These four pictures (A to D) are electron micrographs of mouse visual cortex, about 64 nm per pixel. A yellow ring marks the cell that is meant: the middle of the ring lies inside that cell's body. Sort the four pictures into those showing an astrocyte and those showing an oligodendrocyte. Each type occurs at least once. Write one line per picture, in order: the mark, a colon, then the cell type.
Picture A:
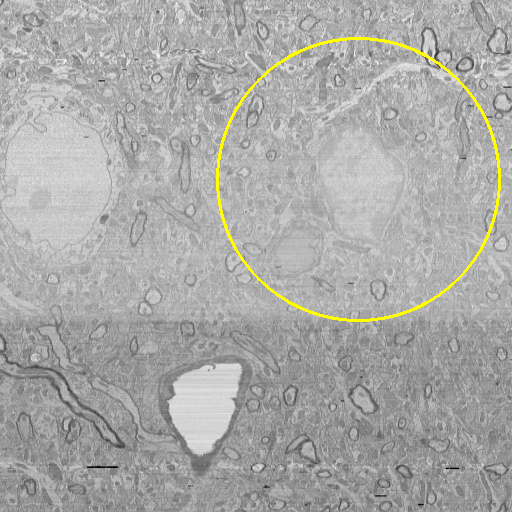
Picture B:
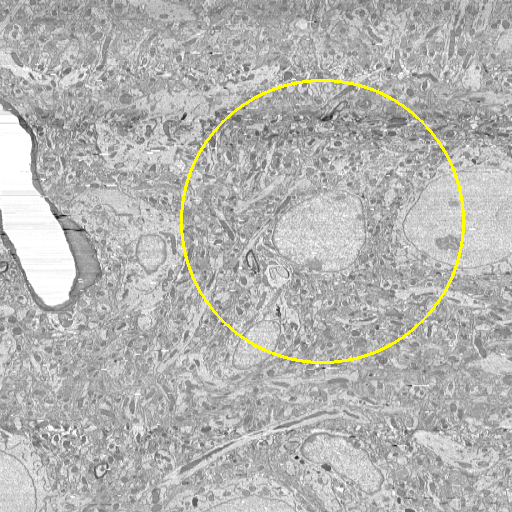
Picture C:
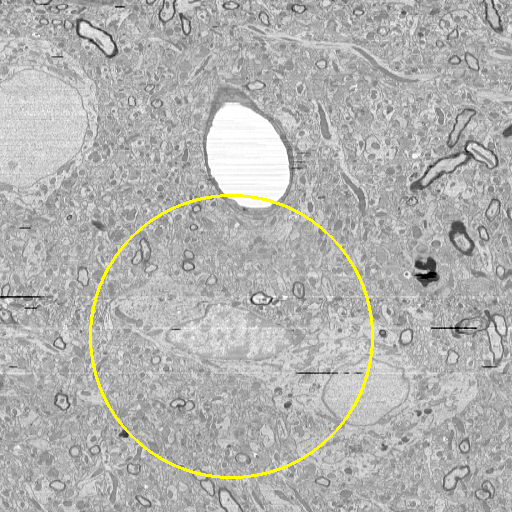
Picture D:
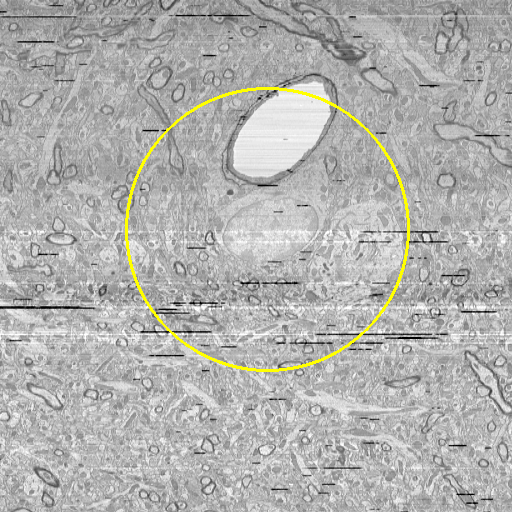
A: oligodendrocyte
B: astrocyte
C: oligodendrocyte
D: oligodendrocyte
